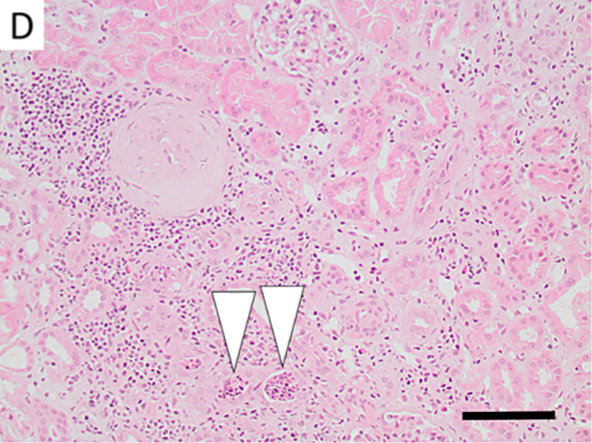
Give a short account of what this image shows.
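Renal cortex with interstitial inflammation and neutrophil granulocytes inside tubules. Around a vessel with a thickened pale pink wall, the interstitium holds many small dark-nucleated inflammatory cells. A glomerulus sits at the top. Tubules to the right are lined by pink cuboidal epithelium with round nuclei, separated by a mildly widened interstitium containing scattered inflammatory cells.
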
